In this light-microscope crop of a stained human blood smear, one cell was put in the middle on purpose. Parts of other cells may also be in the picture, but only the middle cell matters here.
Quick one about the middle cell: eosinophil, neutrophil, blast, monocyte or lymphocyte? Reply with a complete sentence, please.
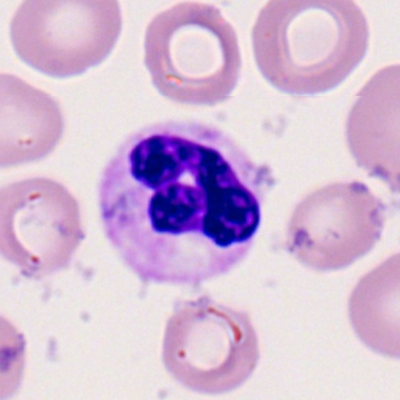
This crop's central cell is a neutrophil.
